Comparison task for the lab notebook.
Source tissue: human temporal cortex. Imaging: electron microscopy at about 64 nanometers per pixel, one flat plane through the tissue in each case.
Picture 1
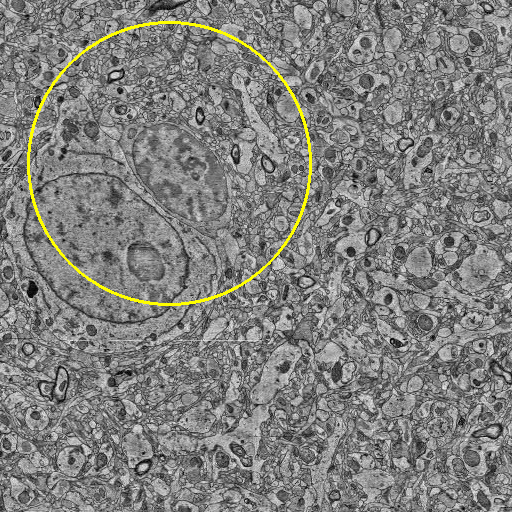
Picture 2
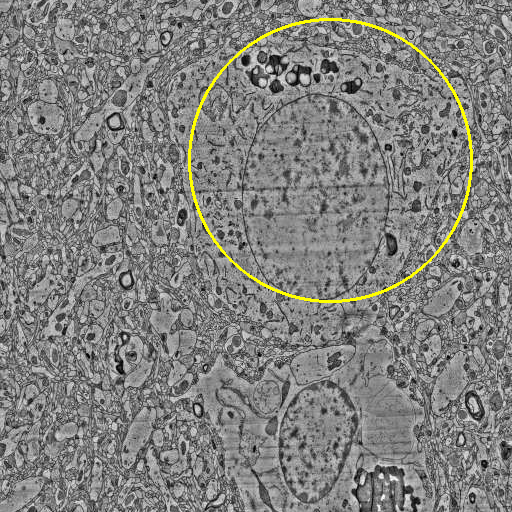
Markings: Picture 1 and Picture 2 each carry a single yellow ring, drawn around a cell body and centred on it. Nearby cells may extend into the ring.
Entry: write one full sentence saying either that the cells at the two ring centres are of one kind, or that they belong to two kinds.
The cells sitting at the ring centres in Picture 1 and Picture 2 belong to two kinds.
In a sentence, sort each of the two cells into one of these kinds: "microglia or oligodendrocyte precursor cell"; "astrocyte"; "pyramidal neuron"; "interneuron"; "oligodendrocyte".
The first of the two cells is an oligodendrocyte, and the second is a pyramidal neuron.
